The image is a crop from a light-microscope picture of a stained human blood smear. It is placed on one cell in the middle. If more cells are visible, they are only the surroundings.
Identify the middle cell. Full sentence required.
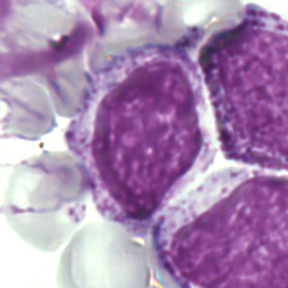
The identification for the central cell is a myelocyte.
